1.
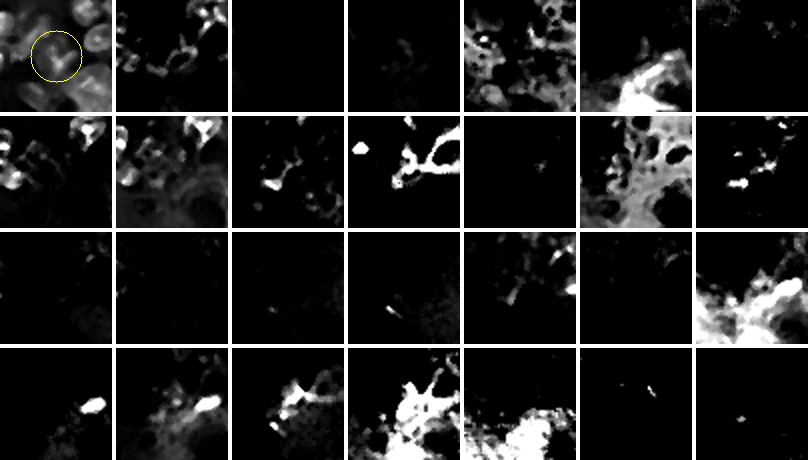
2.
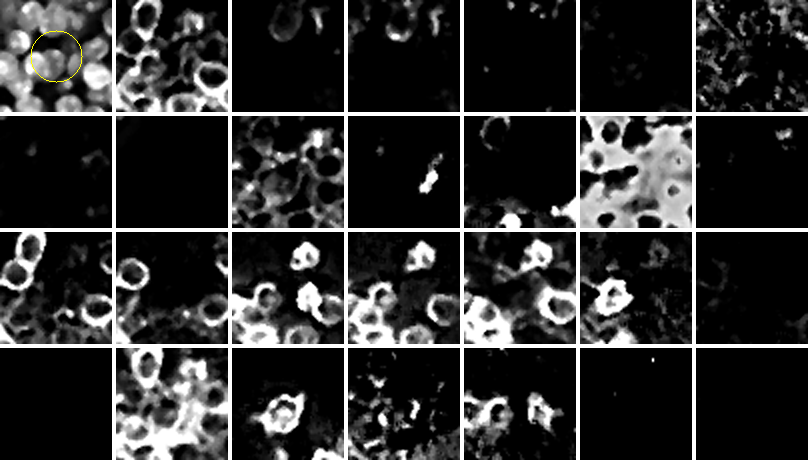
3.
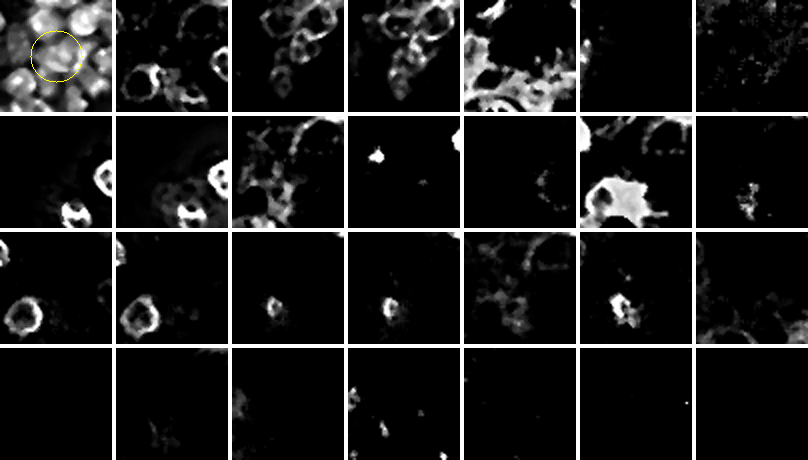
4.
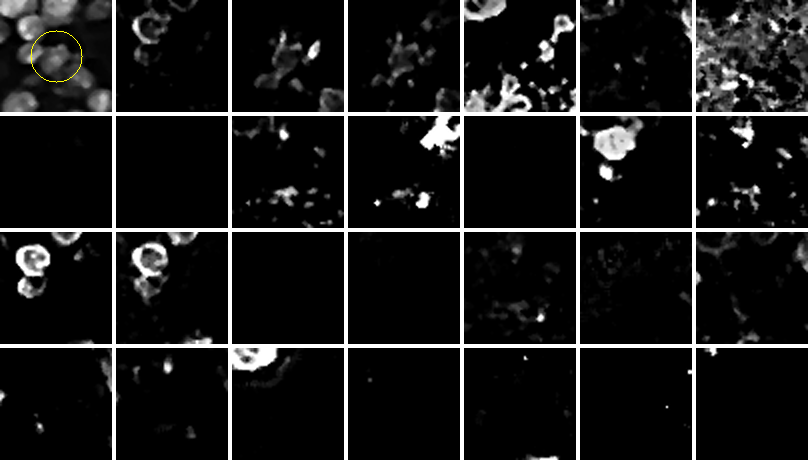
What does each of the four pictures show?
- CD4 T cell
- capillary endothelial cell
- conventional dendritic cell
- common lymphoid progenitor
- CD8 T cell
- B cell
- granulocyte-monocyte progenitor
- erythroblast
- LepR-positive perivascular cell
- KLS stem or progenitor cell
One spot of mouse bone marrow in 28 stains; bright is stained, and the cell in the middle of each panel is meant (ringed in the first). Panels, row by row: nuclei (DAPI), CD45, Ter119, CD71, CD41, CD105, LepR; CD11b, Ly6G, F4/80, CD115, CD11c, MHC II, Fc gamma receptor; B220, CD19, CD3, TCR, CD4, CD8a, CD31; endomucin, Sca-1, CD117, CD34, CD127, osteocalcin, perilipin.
1: granulocyte-monocyte progenitor
2: KLS stem or progenitor cell
3: erythroblast
4: erythroblast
